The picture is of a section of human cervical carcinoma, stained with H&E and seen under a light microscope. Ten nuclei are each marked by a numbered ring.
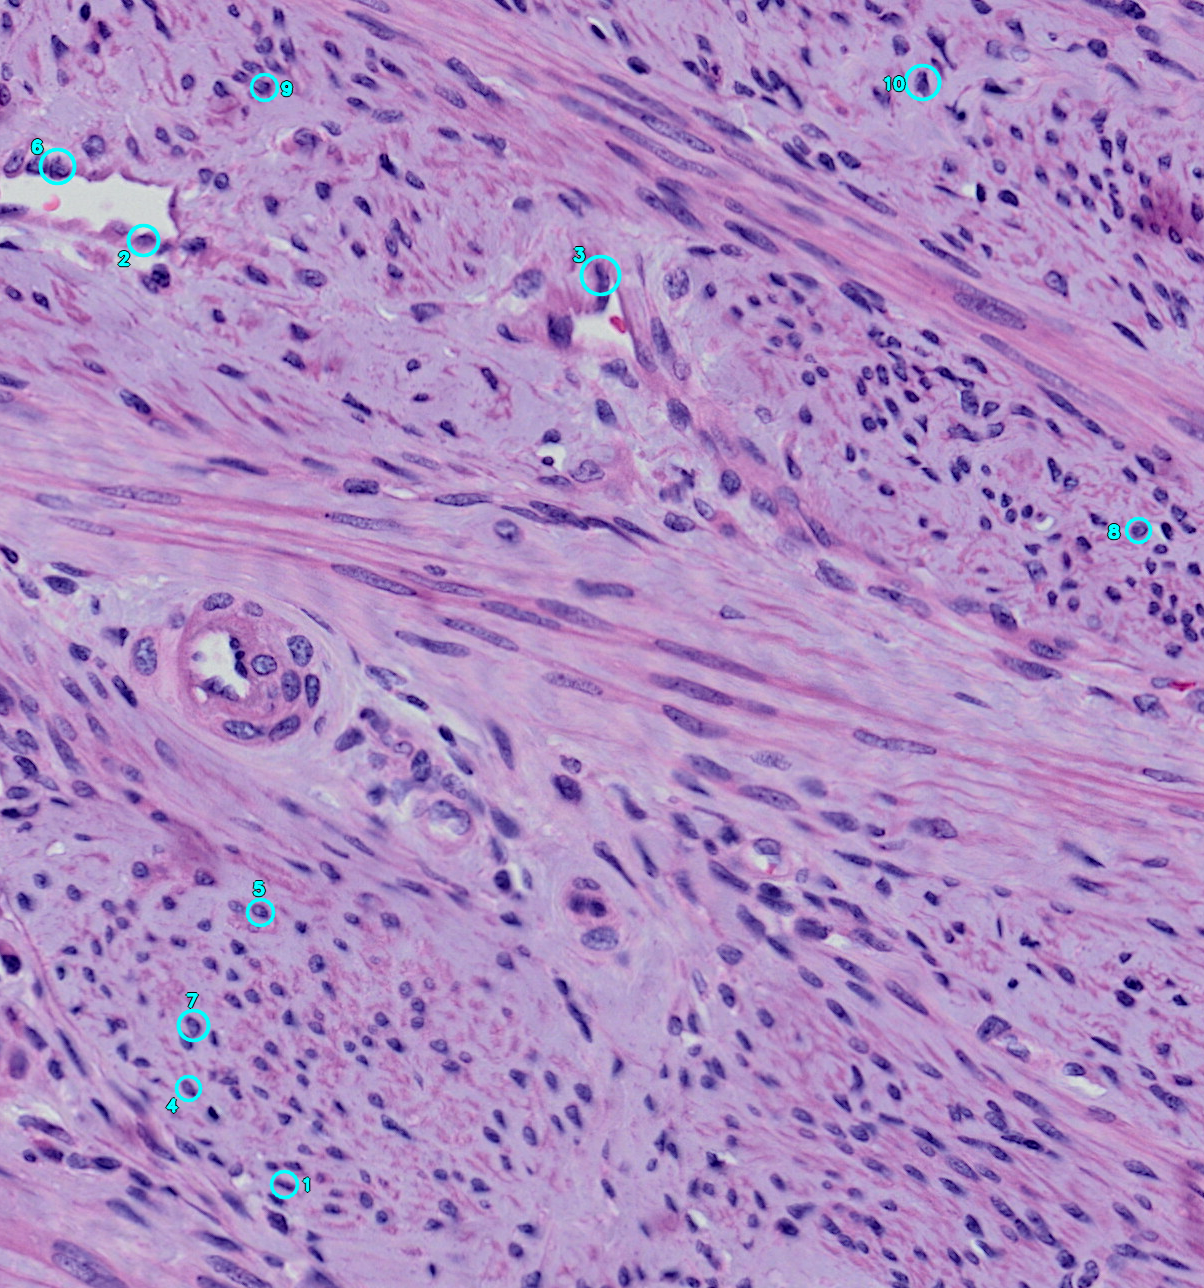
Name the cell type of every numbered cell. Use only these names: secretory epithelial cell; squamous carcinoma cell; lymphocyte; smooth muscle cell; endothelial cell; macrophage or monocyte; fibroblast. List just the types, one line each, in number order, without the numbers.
smooth muscle cell
endothelial cell
endothelial cell
smooth muscle cell
smooth muscle cell
endothelial cell
smooth muscle cell
smooth muscle cell
smooth muscle cell
fibroblast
